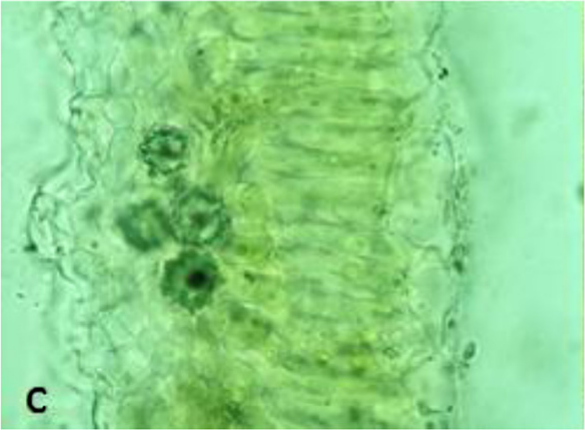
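Transverse section of a leaf blade showing epidermises, a palisade layer and mesophyll with crystal clusters. A row of column-shaped palisade cells stands perpendicular to the surface and lies closely packed. Thin-walled epidermal cells line both surfaces.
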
